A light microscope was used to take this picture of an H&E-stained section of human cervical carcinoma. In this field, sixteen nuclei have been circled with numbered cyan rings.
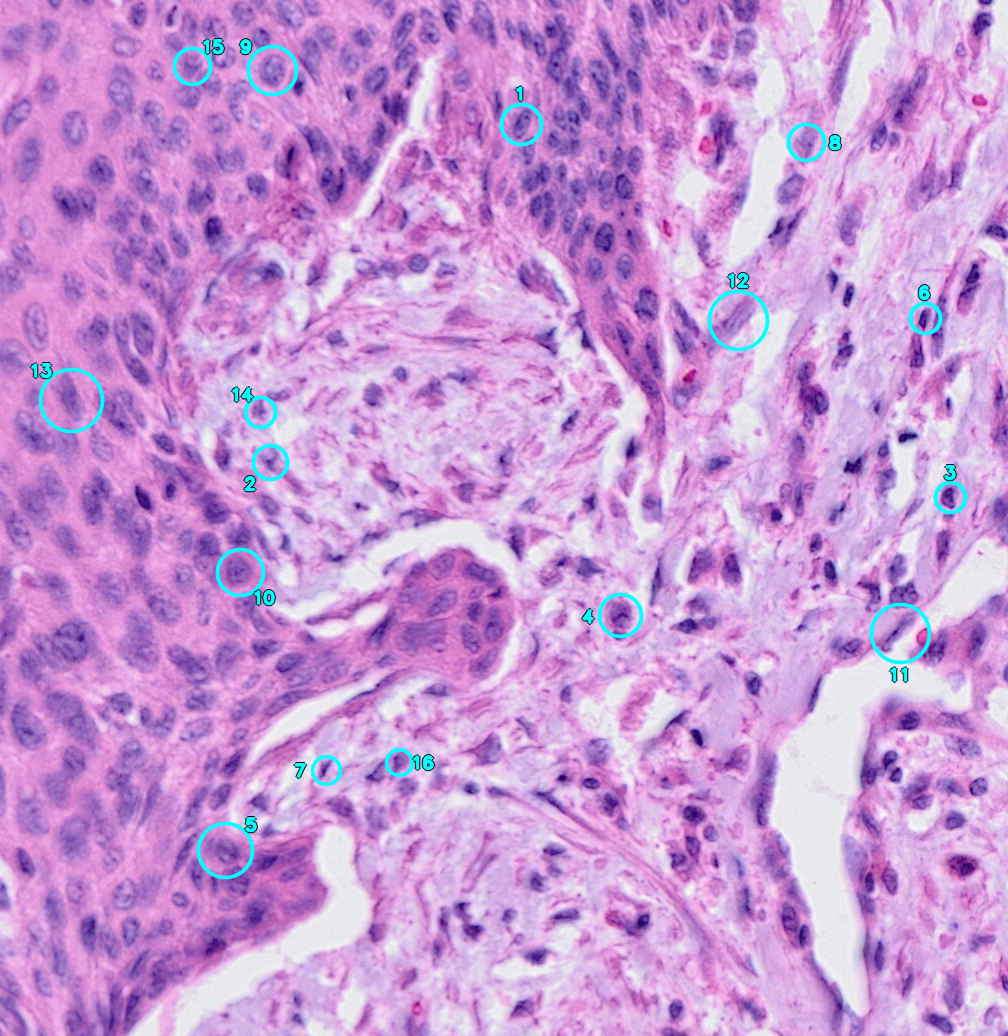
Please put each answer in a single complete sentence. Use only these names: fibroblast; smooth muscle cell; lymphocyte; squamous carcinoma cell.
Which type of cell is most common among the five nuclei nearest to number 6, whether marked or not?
The majority of the five nuclei closest to number 6 belong to fibroblasts.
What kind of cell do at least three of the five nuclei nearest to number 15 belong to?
Squamous carcinoma cells make up most of the five nuclei closest to number 15.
